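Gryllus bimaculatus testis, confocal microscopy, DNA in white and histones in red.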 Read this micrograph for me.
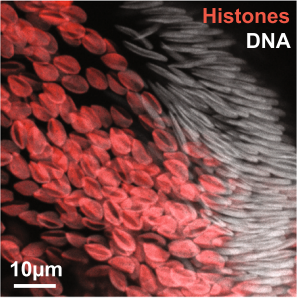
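The nuclei on the left are oval to lens-shaped, densely packed and stained red, each with a lighter rim and a slightly brighter central streak. Toward the right the nuclei become slender and needle-like, lying parallel to one another in a sweeping bundle. These thin nuclei appear white with no red, unlike the broader nuclei beside them.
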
